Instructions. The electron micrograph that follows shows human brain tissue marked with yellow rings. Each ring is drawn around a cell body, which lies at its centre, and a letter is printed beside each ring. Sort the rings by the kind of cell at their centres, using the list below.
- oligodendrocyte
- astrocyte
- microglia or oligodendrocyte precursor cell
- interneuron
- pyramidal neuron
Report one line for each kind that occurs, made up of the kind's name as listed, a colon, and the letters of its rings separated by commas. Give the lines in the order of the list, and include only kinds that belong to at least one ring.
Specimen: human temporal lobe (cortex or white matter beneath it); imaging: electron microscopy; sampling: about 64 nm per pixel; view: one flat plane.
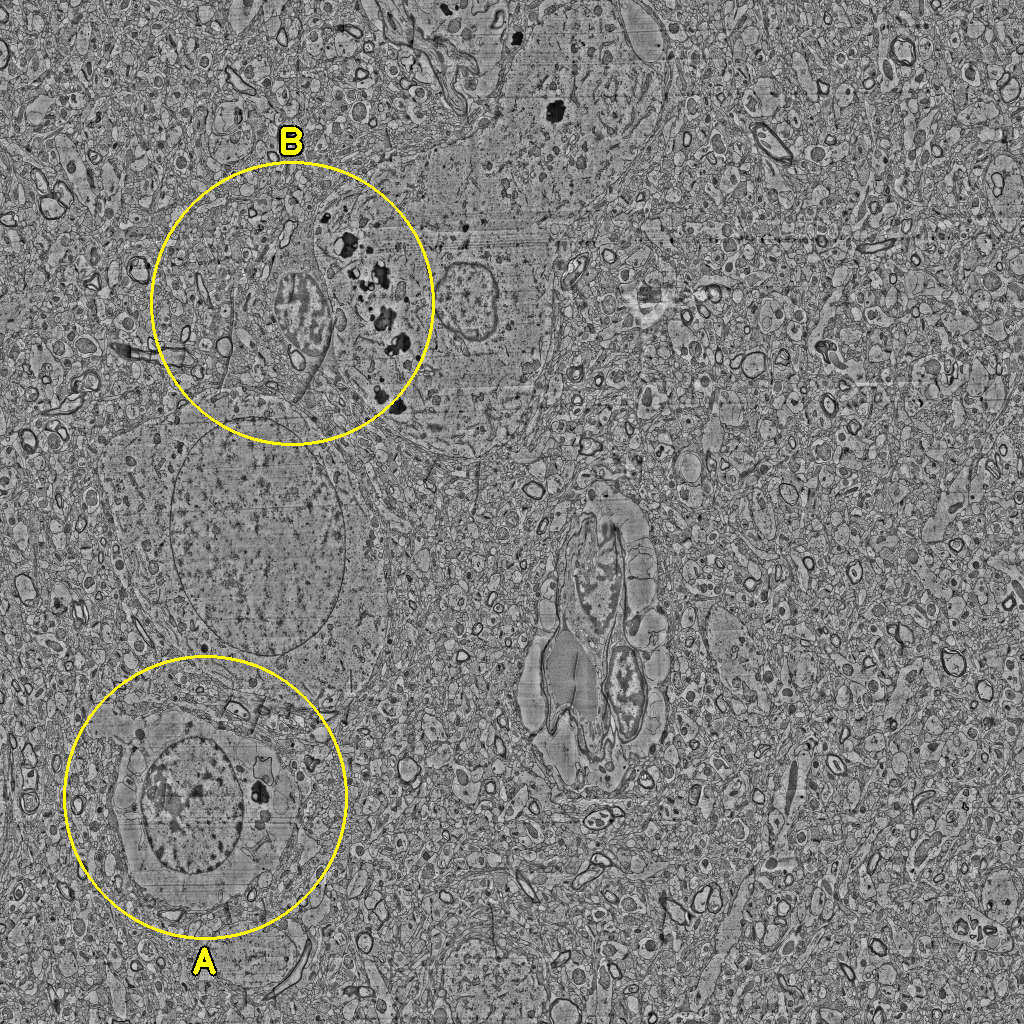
oligodendrocyte: B
astrocyte: A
